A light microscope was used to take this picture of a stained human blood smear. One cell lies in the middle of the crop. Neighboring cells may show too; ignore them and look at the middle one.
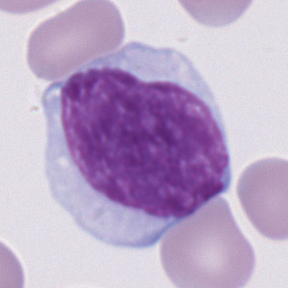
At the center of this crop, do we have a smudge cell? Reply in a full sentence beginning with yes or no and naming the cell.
No, what is seen at the centre is a myeloblast instead of a smudge cell.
